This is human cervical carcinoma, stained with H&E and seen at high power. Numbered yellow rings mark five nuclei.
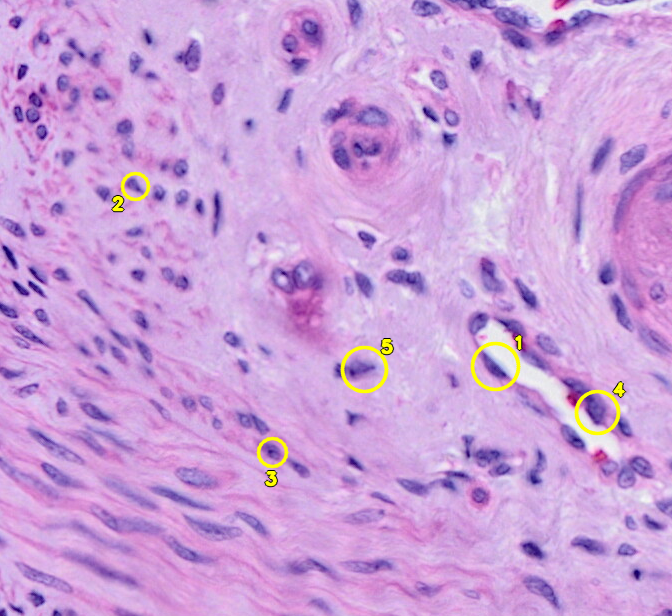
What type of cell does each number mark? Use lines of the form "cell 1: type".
cell 1: endothelial cell
cell 2: smooth muscle cell
cell 3: smooth muscle cell
cell 4: endothelial cell
cell 5: fibroblast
